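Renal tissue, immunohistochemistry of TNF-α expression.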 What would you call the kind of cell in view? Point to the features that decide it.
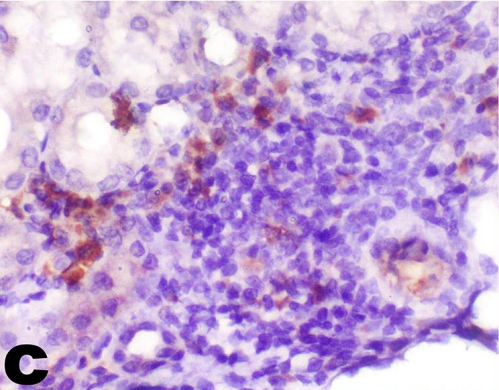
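A dense sheet of small cells with round, dark blue nuclei and scant cytoplasm fills the centre. The cluster lies between renal tubules. Some of the small cells carry brown cytoplasmic stain. So: mononuclear inflammatory cells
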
